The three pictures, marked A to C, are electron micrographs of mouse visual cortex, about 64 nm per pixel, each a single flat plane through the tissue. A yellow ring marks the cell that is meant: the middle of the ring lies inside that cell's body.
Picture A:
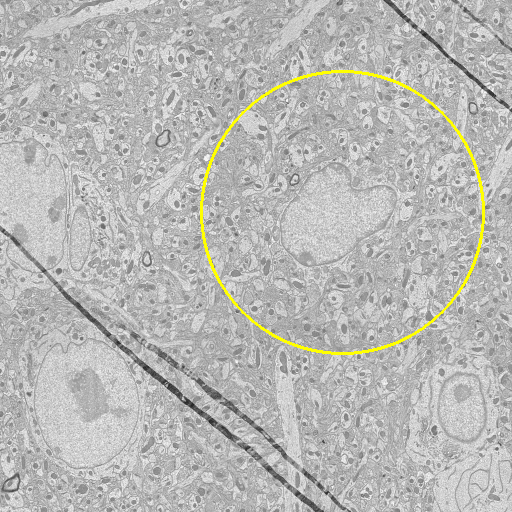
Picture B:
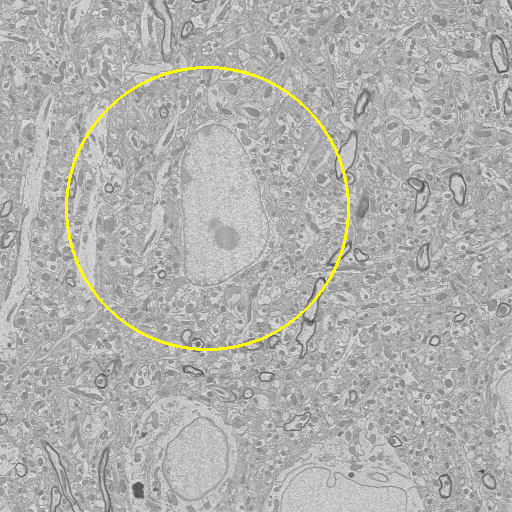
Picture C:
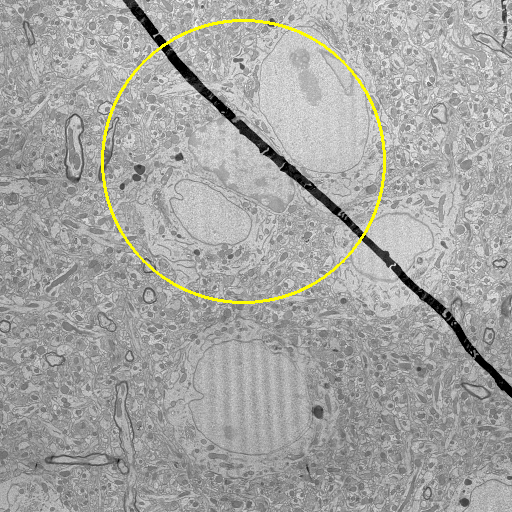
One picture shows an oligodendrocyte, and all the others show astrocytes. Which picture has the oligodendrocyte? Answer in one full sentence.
The picture with the oligodendrocyte is C.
